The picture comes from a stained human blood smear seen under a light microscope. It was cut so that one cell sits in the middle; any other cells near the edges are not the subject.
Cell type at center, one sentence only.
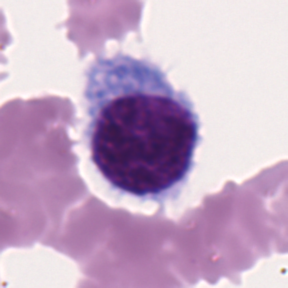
The middle of this crop is occupied by a hairy cell.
